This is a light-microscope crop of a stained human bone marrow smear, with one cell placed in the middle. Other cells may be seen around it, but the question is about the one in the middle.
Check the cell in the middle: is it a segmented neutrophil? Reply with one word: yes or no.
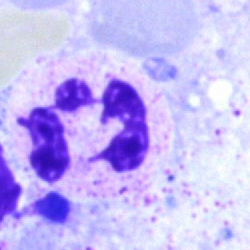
yes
